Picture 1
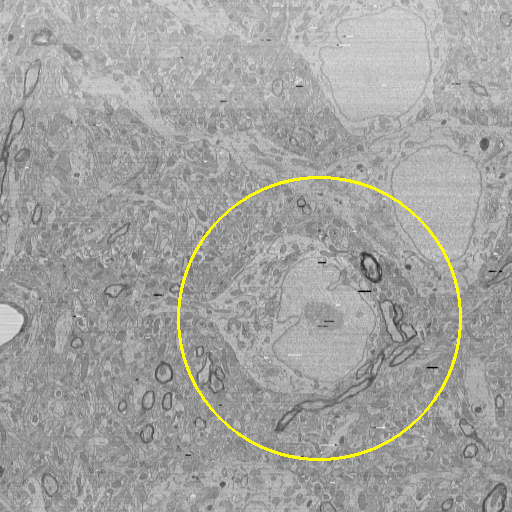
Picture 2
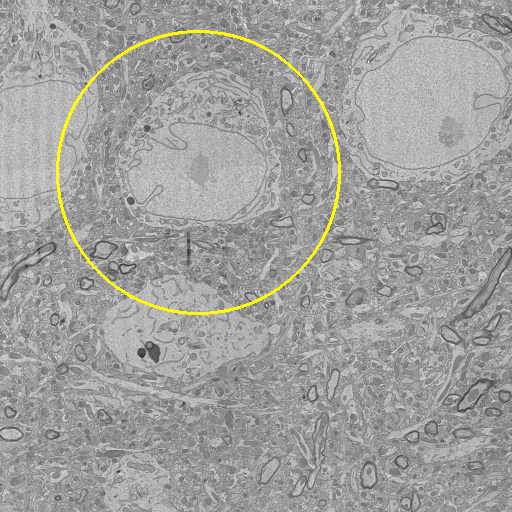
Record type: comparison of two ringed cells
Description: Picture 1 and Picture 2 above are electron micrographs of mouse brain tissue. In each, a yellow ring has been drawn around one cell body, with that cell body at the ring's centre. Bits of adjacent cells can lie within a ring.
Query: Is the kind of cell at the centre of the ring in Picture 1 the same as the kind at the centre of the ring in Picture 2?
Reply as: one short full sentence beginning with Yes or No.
Yes, the two ringed cells are of the same kind.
